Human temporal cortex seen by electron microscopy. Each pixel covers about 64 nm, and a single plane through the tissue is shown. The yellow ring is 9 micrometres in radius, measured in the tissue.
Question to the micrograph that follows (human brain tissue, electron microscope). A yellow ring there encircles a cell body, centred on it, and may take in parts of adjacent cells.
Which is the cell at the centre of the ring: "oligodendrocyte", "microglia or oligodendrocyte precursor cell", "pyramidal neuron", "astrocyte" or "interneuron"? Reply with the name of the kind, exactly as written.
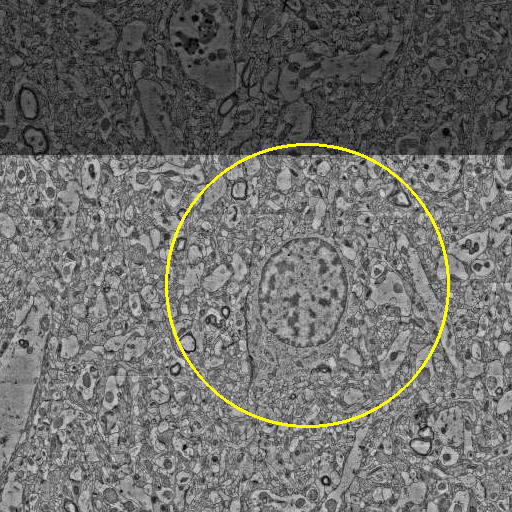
oligodendrocyte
